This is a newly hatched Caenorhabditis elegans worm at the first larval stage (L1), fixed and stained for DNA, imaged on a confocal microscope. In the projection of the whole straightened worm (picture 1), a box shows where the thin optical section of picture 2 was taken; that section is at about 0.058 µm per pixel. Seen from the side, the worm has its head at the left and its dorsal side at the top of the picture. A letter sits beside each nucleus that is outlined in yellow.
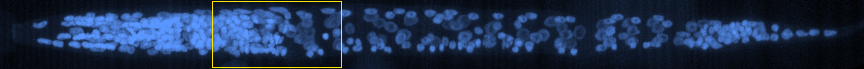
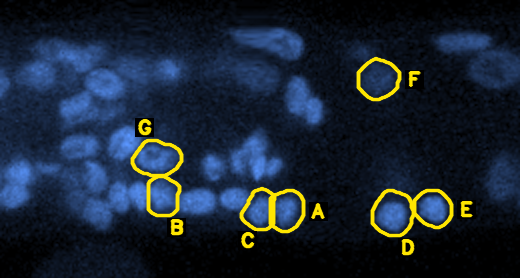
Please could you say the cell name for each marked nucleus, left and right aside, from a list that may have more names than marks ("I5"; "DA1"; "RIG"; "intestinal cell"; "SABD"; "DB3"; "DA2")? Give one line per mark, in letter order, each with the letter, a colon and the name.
A: DA1
B: SABD
C: RIG
D: DB3
E: DA2
F: intestinal cell
G: I5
